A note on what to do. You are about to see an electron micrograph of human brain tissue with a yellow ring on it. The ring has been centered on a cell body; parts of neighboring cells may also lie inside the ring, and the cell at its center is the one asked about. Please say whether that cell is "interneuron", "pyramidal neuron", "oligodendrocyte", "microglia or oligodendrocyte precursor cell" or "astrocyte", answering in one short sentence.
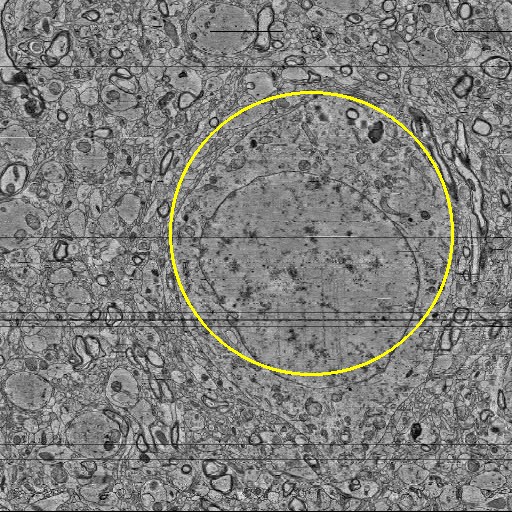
The yellow ring sits on a pyramidal neuron.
